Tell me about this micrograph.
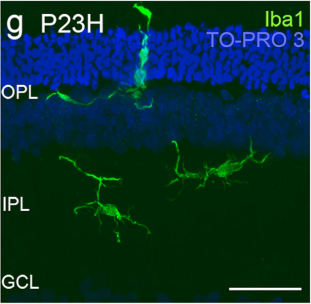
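This vertical section of retina shows microglia in green against the blue nuclear layers. In the inner plexiform layer two microglia have small bodies and long, thin, branching processes spread through the layer. A third cell sits at the outer plexiform layer and sends an elongated process up into the outer nuclear layer, with thinner branches running sideways along the plexiform layer.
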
